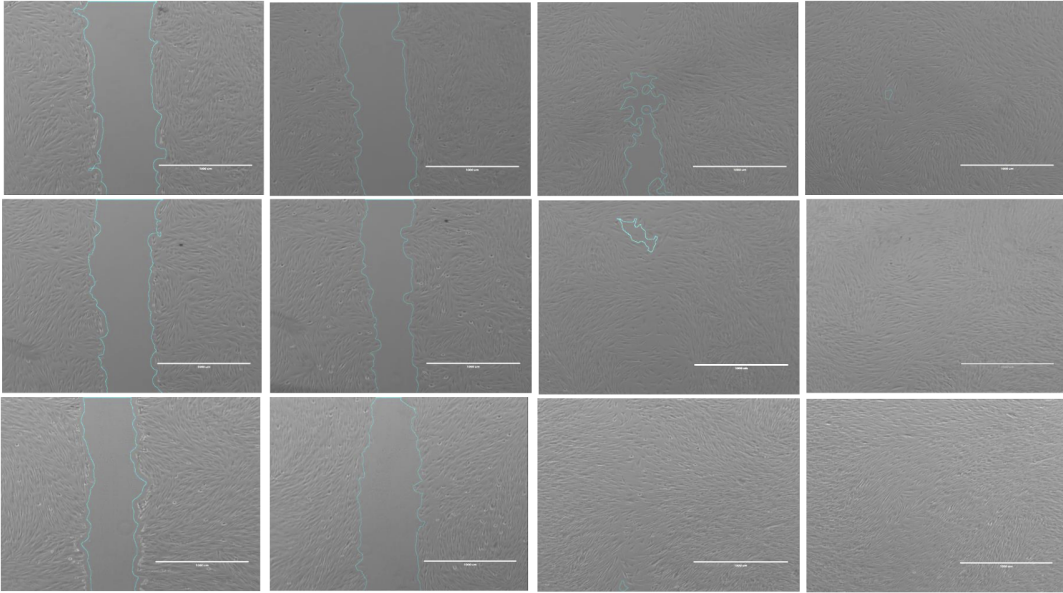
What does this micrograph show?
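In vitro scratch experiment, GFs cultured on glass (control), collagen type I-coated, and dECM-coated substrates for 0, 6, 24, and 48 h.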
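Phase-contrast images of a dense monolayer of elongated, spindle-shaped fibroblasts lying side by side in parallel streams. In the earlier images a straight, cell-free band, bordered by cyan lines, cuts vertically through the sheet of cells. In the later images the band narrows to a small irregular remnant or is fully filled in by cells.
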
